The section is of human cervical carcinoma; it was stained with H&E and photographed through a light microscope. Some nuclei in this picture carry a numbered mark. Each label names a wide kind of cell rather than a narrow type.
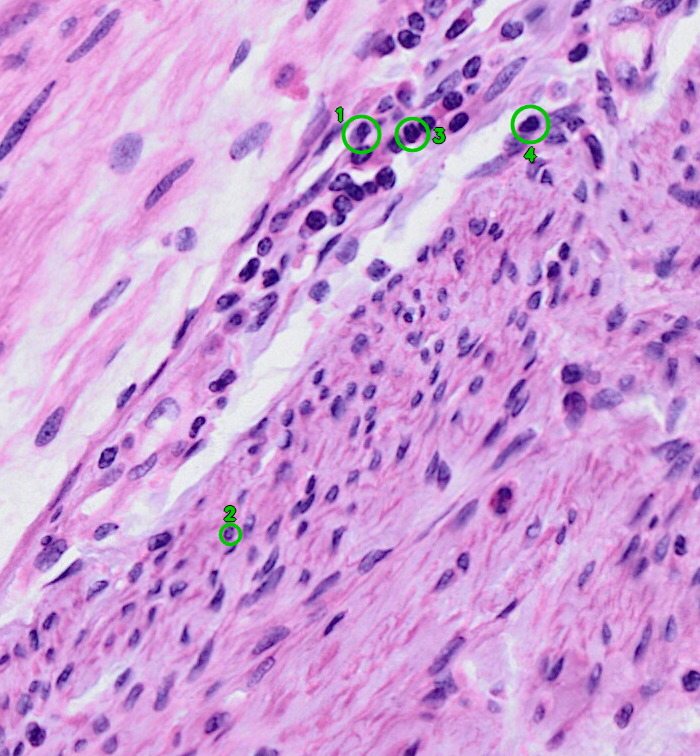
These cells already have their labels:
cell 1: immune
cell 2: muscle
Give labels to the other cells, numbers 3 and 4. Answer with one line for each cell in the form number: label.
3: immune
4: immune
